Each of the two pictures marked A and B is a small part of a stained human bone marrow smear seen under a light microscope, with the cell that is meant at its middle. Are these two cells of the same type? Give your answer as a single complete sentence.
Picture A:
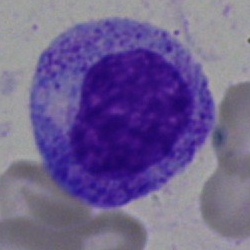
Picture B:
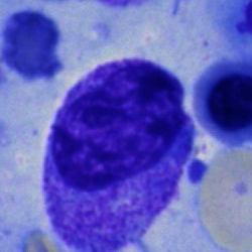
Yes, both cells are myelocytes.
